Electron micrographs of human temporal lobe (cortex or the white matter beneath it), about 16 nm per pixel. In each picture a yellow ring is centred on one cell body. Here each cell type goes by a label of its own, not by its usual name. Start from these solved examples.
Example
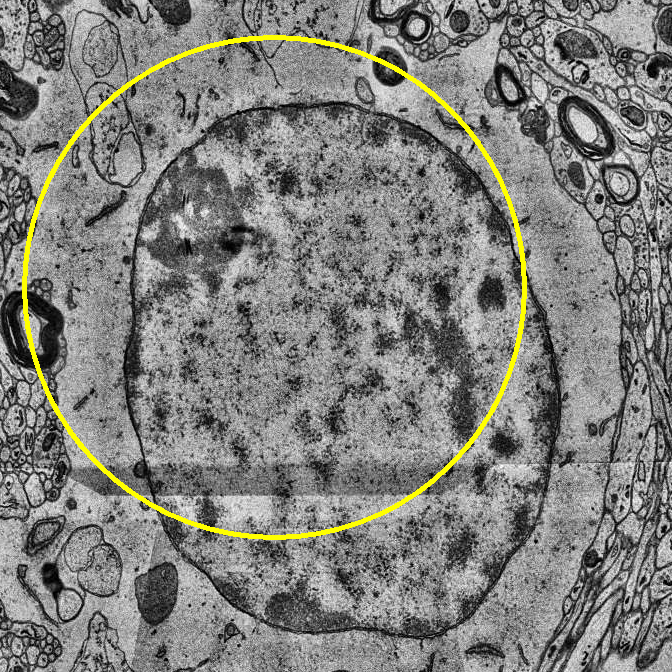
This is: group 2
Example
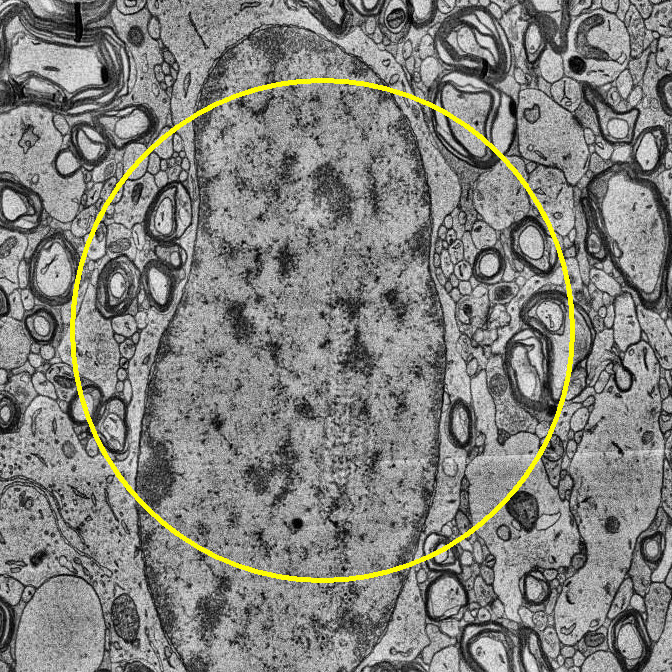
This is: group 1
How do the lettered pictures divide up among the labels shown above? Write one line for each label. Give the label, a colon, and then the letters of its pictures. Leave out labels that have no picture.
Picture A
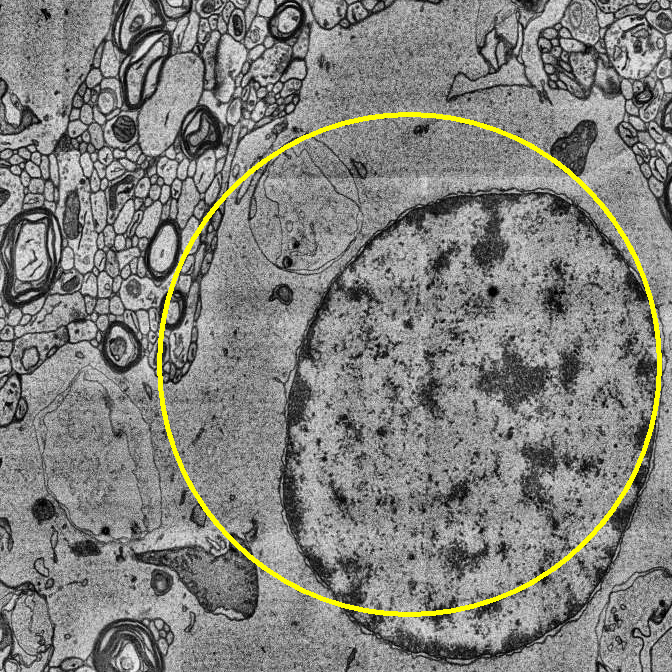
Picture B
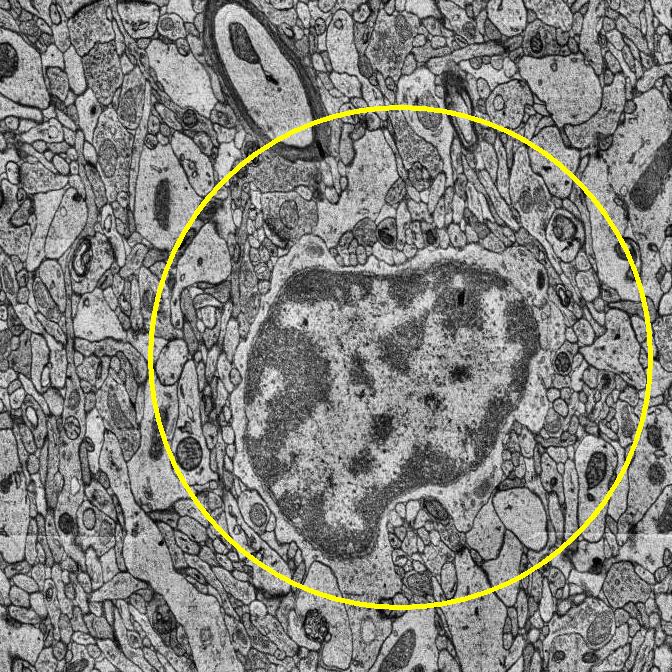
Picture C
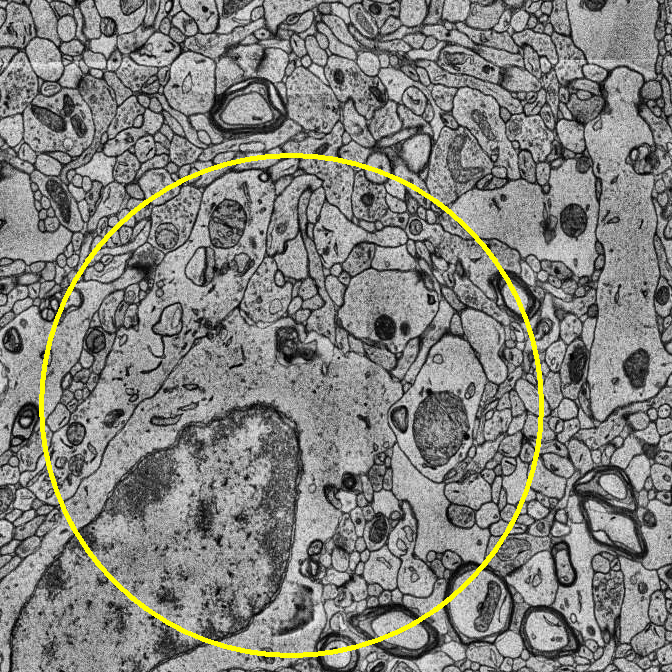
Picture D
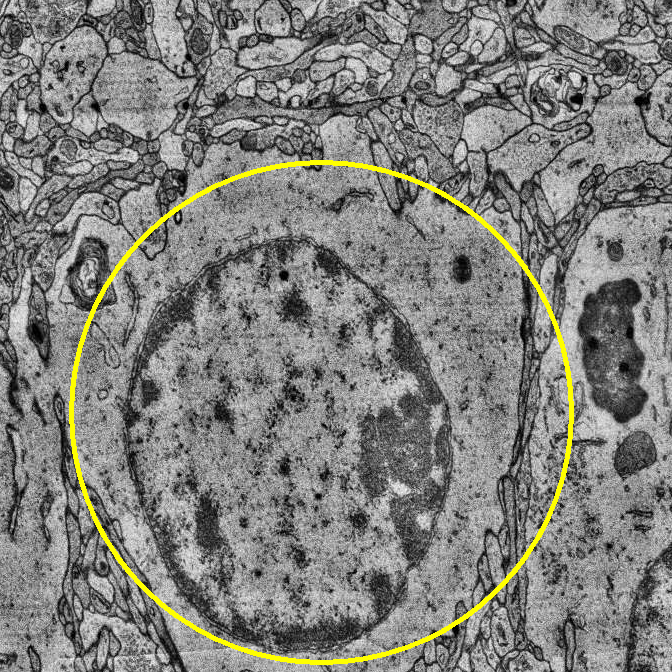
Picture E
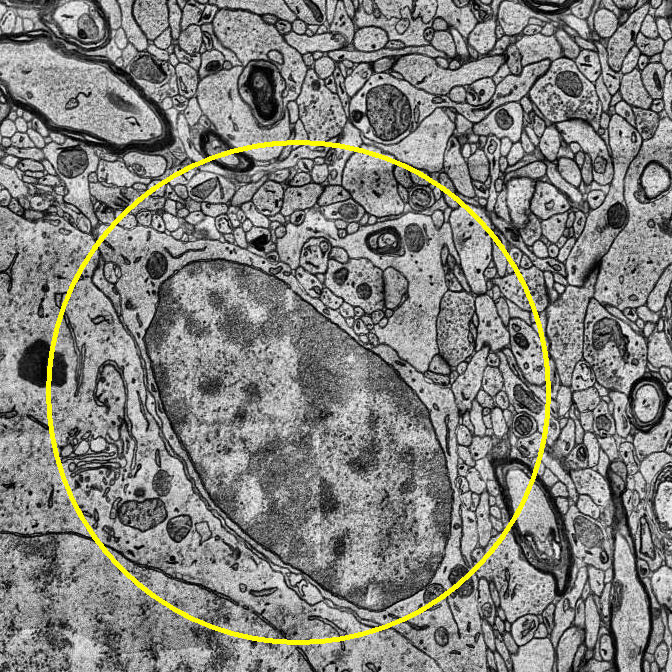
group 2: A, D
group 1: B, C, E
